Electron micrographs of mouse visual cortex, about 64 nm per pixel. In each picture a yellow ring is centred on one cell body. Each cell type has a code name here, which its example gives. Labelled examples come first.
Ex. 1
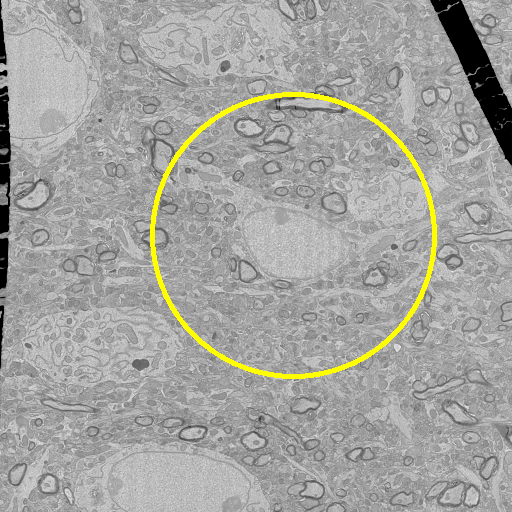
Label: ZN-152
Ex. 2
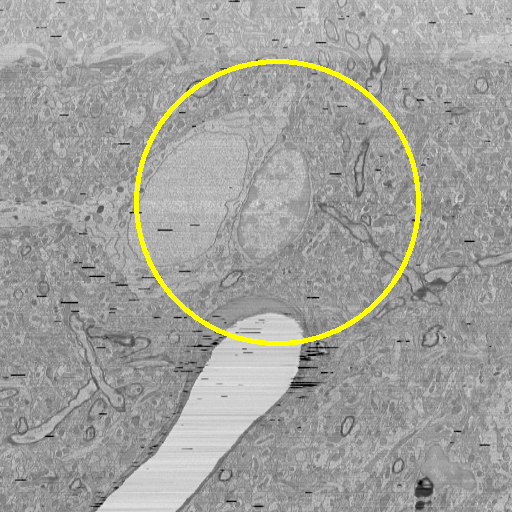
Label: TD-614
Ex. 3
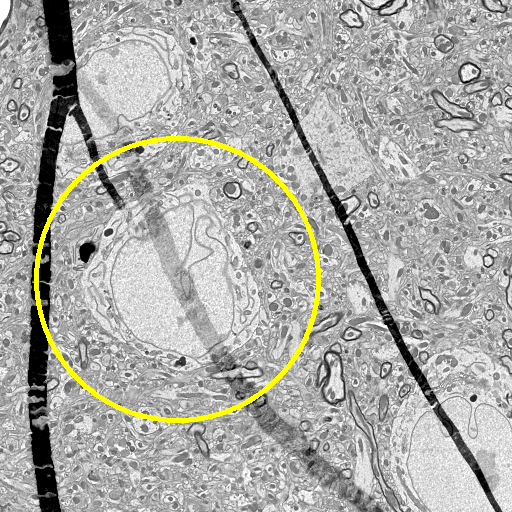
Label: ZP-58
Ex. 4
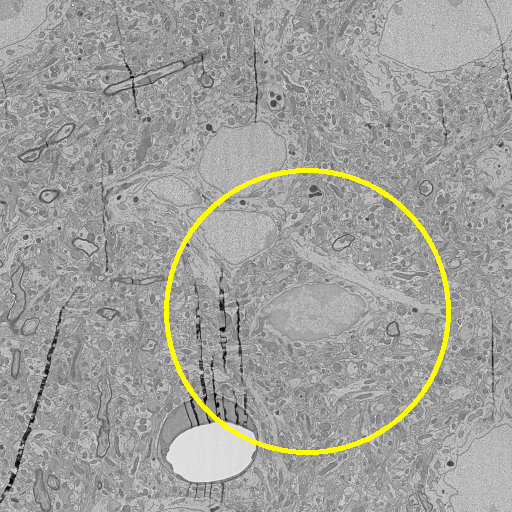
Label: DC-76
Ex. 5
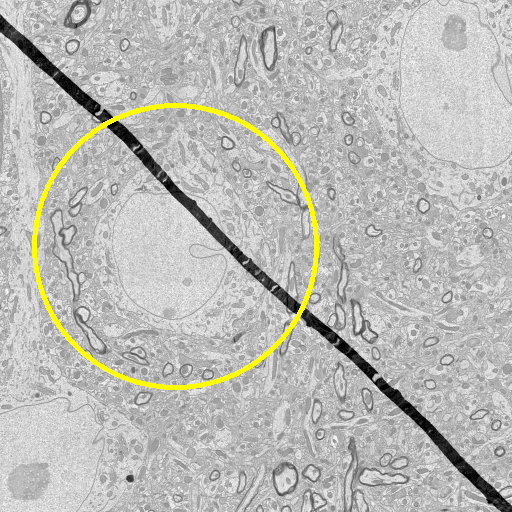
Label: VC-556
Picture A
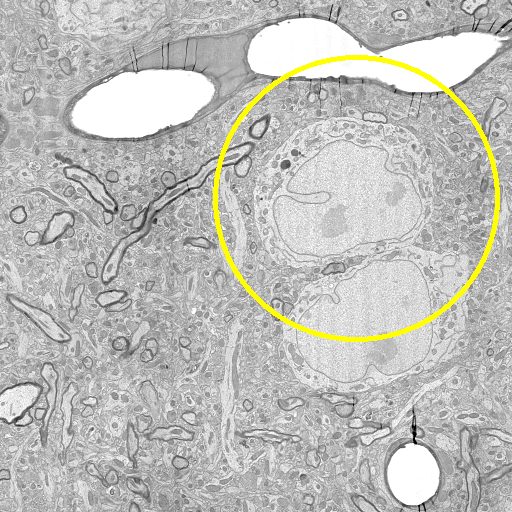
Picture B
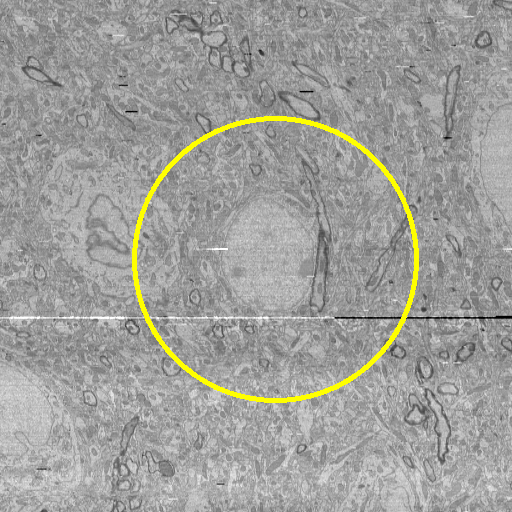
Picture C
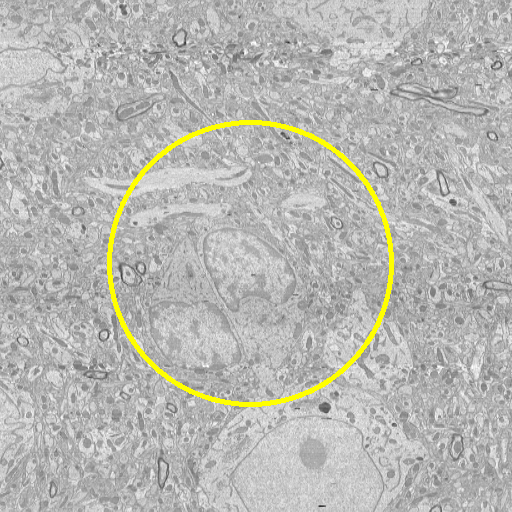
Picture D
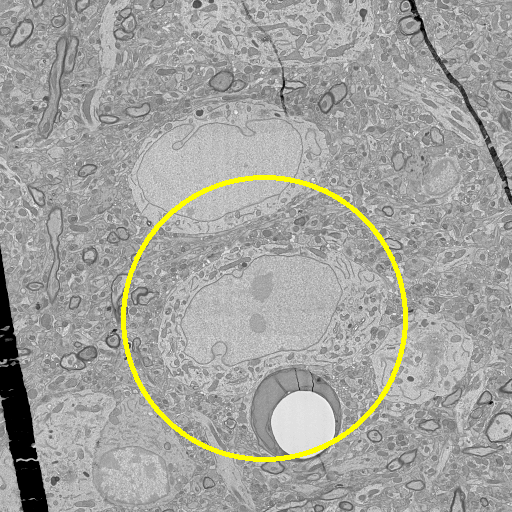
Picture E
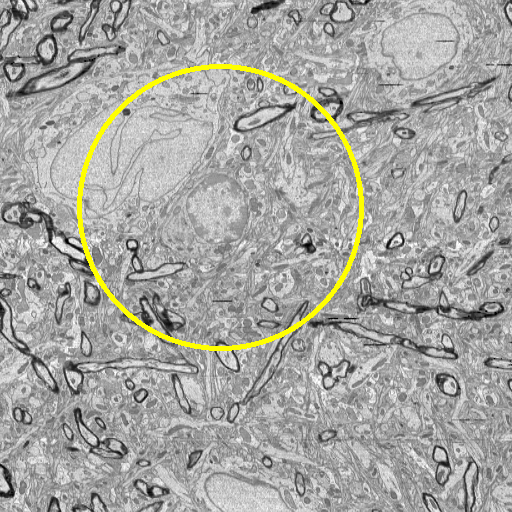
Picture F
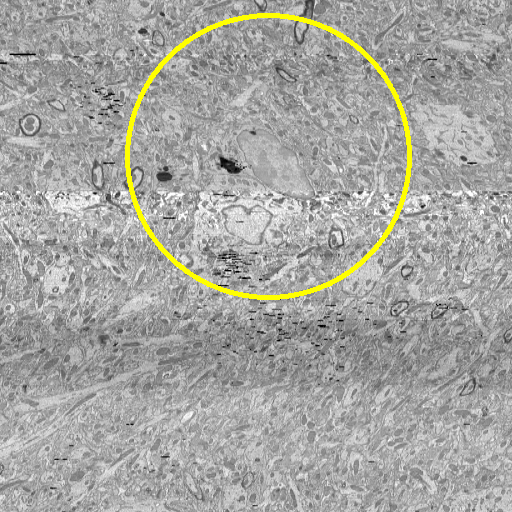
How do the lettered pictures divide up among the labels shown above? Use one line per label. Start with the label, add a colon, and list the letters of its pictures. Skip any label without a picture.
ZN-152: B
TD-614: C, E
ZP-58: A, D
DC-76: F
